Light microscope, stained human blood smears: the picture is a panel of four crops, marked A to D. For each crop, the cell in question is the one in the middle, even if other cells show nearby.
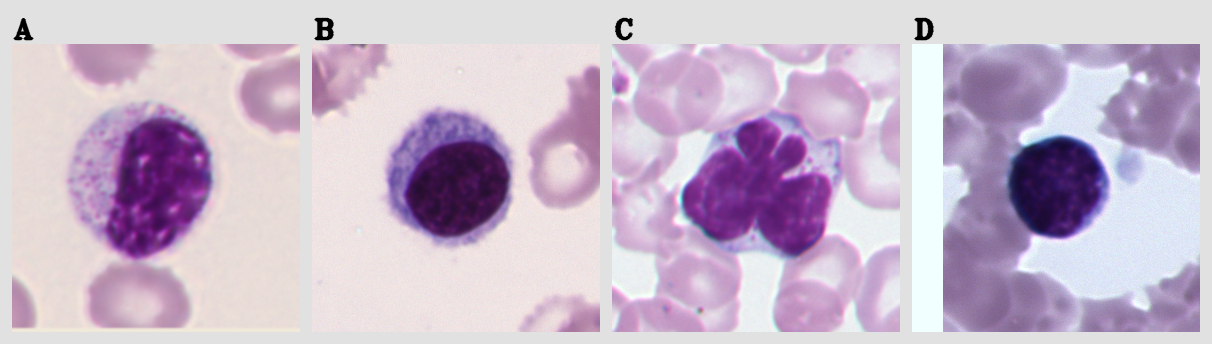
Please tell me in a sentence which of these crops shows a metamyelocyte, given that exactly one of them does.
The one showing a metamyelocyte is the crop labelled A.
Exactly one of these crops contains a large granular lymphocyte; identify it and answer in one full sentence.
It is crop C, not any other, that shows a large granular lymphocyte.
